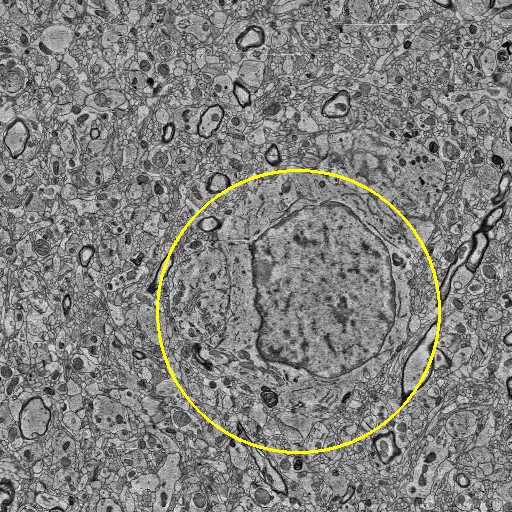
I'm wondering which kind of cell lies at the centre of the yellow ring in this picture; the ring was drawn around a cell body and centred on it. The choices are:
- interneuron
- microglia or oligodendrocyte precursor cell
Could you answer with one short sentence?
At the centre of the ring lies a microglial cell or oligodendrocyte precursor cell.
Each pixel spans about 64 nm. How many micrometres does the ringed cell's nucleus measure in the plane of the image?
The nucleus has a long axis of about 12 micrometres and a short axis of about 9 micrometres in this plane.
